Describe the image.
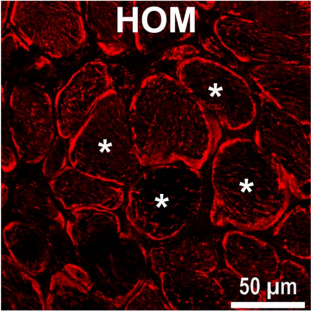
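Transverse section of skeletal muscle showing polygonal fibers of varying size with fine granular red staining. Several fibers have a dark, poorly stained interior, with red staining concentrated in a rim just beneath the fiber border.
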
